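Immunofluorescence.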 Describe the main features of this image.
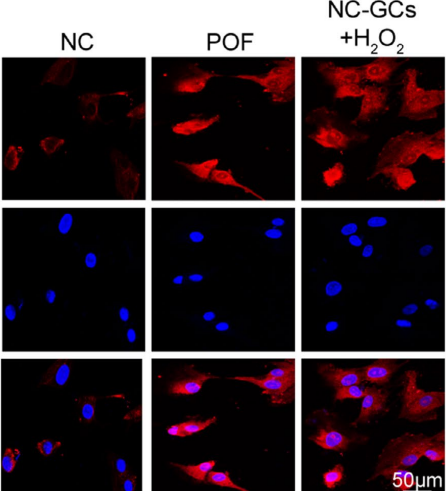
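Many cells are irregular or elongated, with tapering extensions reaching out from the cell body. In the middle and right columns the red is brighter and the cells look larger and more spread than in the left column.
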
